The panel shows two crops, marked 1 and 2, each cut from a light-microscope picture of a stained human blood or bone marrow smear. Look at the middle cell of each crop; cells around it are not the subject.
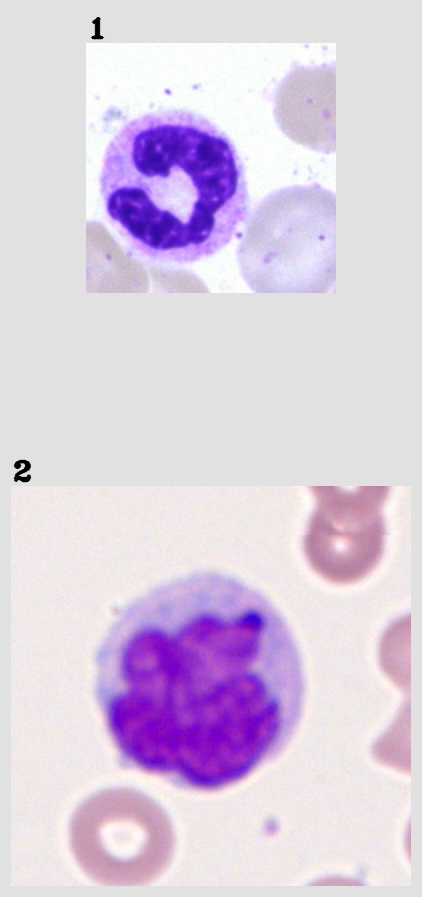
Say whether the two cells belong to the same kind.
no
